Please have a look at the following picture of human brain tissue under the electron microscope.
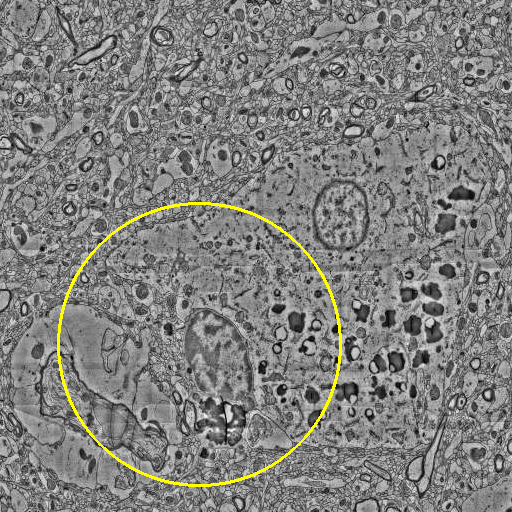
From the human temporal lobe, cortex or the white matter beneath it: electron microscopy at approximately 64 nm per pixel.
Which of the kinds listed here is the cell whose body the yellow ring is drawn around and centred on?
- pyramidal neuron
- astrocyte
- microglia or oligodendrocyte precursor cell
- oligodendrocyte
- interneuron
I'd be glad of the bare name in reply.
oligodendrocyte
